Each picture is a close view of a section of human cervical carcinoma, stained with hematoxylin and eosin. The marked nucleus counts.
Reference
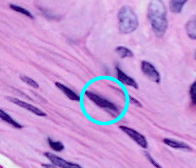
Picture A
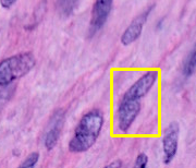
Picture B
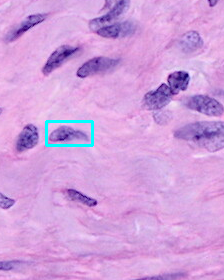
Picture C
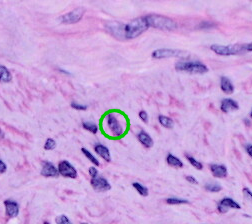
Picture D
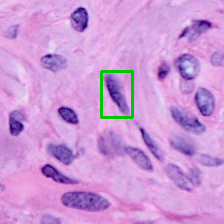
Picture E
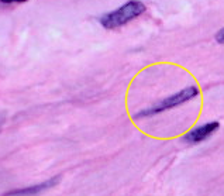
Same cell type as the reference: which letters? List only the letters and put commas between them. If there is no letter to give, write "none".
B, D, E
